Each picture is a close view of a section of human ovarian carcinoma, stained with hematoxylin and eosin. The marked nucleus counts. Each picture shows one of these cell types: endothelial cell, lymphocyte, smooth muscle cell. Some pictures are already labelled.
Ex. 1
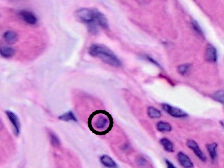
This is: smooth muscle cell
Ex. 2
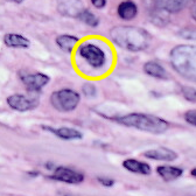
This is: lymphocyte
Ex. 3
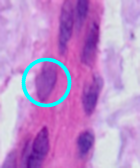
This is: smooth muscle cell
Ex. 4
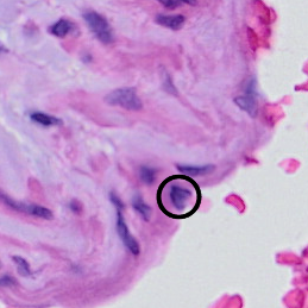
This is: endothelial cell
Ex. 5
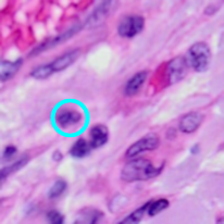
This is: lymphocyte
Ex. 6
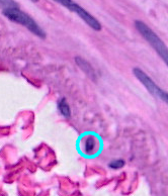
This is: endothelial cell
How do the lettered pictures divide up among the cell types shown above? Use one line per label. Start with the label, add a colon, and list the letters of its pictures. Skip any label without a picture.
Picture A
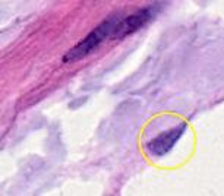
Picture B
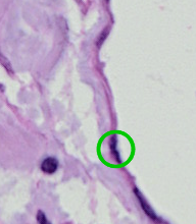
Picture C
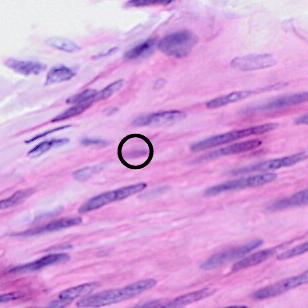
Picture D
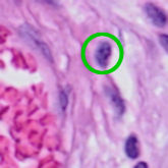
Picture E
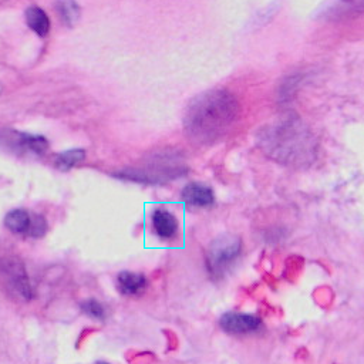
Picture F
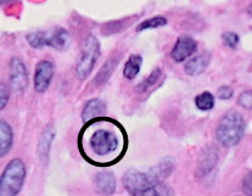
endothelial cell: A, B
lymphocyte: D, E, F
smooth muscle cell: C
